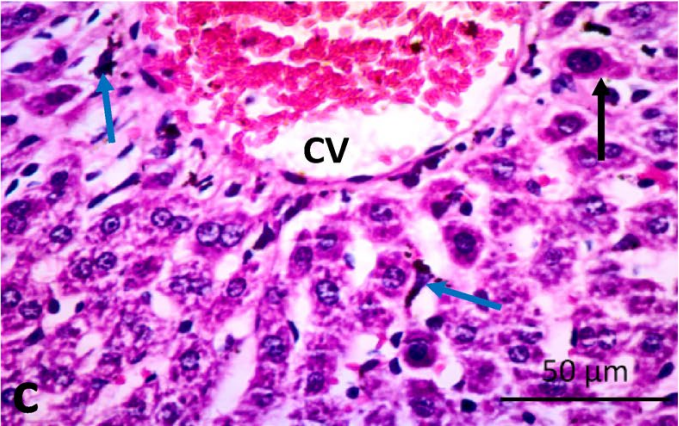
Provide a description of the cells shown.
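This is liver tissue with a dilated, congested central vein filled with a dense mass of red blood cells. Hepatocytes surround the vein in cords; many have deeply stained purple-pink cytoplasm and dark nuclei. Some hepatocytes appear enlarged with darkly stained cytoplasm. Kupffer cells in the sinusoids contain dark brown-black granules. The sinusoids between the cords look widened.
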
